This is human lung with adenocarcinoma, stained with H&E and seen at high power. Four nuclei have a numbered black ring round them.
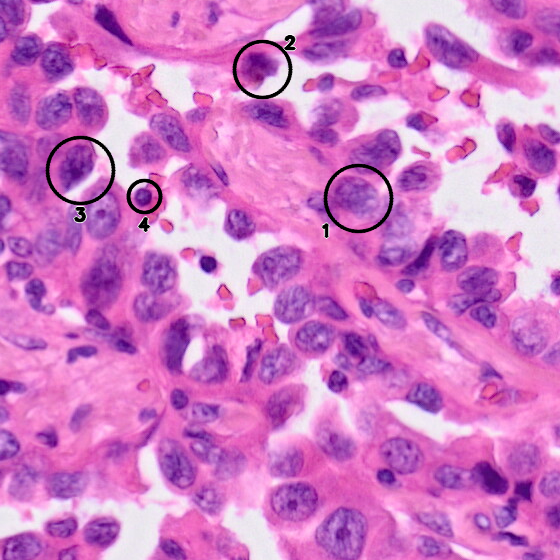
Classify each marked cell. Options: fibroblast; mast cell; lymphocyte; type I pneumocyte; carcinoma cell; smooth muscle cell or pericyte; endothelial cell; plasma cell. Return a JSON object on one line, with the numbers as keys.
{"1": "carcinoma cell", "2": "carcinoma cell", "3": "carcinoma cell", "4": "lymphocyte"}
